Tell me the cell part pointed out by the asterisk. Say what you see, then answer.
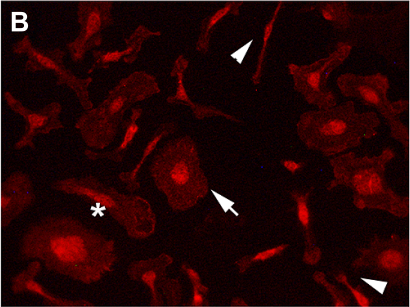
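A broad, thin, flat sheet of faint red cytoplasm spreads beside the asterisk. The sheet has a smooth, rounded edge.
Conclusion: single large lamellipodia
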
